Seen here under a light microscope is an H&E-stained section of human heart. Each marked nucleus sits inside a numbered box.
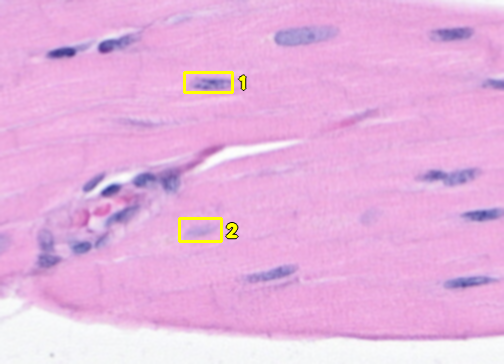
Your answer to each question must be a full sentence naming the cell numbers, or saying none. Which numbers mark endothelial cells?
Mind that only cell 1 is an endothelial cell, none of the rest.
